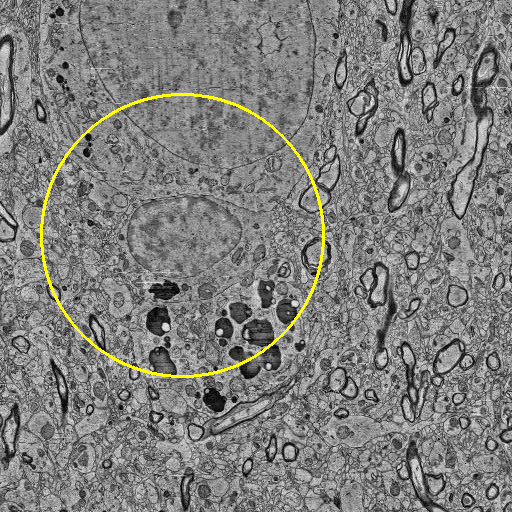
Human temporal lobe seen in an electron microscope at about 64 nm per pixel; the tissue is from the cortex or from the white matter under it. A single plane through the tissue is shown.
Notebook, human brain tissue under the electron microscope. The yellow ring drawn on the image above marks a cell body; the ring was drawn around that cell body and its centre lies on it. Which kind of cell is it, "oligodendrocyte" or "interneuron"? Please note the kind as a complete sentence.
The marked cell body is that of an oligodendrocyte.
